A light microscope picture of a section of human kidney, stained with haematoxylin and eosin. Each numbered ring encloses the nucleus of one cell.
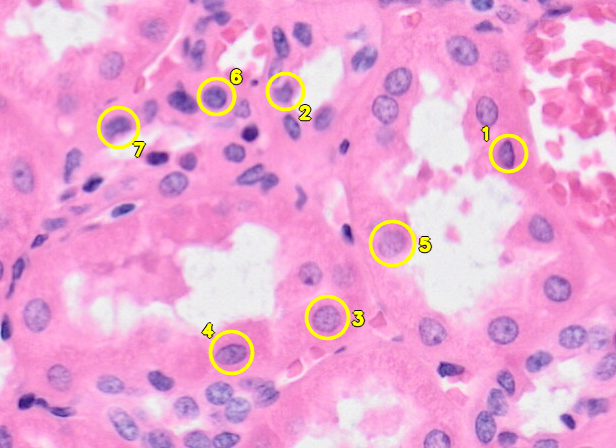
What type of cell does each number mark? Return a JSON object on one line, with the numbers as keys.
{"1": "proximal tubule cell", "2": "collecting duct cell", "3": "proximal tubule cell", "4": "proximal tubule cell", "5": "proximal tubule cell", "6": "collecting duct cell", "7": "collecting duct cell"}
